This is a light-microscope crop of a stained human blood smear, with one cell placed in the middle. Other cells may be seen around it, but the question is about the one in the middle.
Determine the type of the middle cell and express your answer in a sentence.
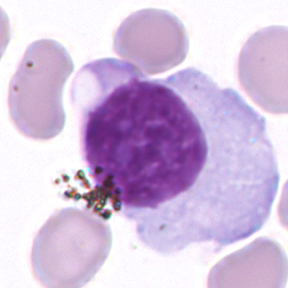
Looking at the middle of the crop, the cell there is a plasma cell.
